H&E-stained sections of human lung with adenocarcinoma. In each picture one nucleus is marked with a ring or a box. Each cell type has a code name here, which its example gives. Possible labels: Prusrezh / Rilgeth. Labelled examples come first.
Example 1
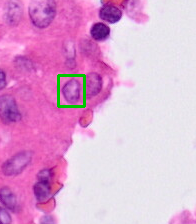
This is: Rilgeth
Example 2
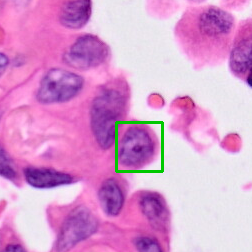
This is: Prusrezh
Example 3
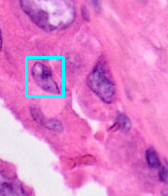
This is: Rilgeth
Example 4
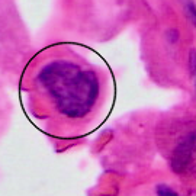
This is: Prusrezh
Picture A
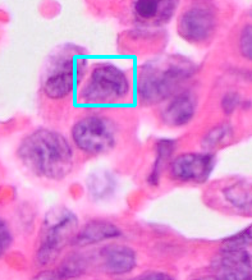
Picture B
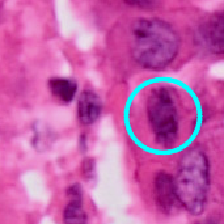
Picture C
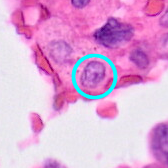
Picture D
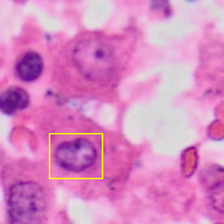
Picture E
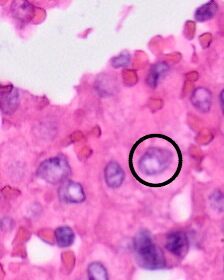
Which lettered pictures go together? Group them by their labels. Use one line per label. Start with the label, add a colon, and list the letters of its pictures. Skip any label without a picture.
Prusrezh: A, B
Rilgeth: C, D, E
